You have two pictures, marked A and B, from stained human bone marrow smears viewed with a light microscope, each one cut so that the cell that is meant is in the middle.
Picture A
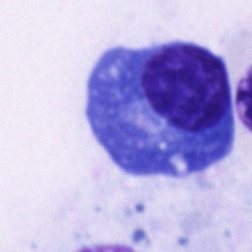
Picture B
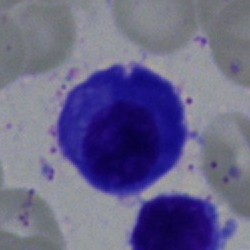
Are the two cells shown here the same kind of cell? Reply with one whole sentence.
Yes, they are the same type: both are plasma cells.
